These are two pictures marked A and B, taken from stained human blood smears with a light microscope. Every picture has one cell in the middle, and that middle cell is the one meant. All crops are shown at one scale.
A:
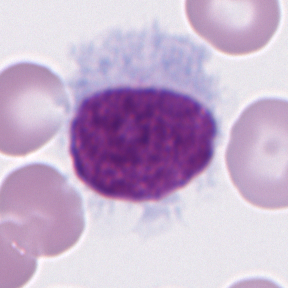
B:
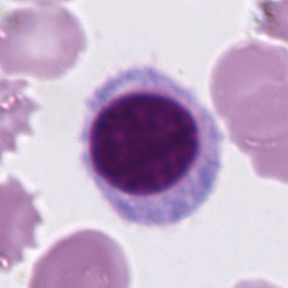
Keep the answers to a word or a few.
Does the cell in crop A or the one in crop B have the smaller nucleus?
B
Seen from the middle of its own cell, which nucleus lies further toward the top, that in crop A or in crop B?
B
